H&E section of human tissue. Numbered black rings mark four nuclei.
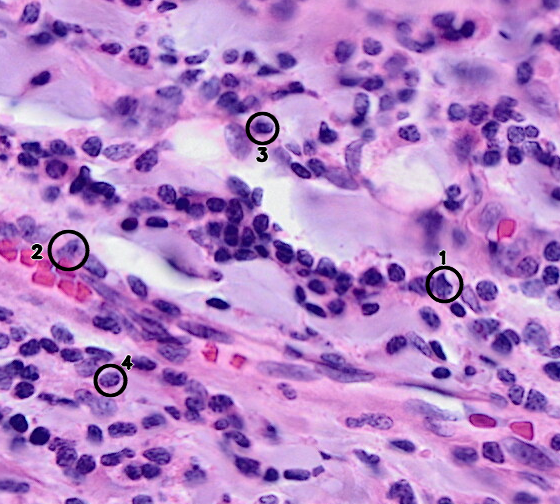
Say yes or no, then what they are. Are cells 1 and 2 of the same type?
No, as for cell 1, it is a lymphocyte, and cell 2 is an endothelial cell.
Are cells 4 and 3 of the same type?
Yes, the cell labelled 4 and the cell labelled 3 are both lymphocytes.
